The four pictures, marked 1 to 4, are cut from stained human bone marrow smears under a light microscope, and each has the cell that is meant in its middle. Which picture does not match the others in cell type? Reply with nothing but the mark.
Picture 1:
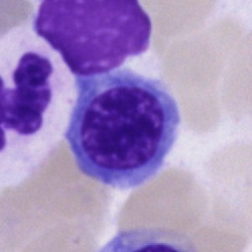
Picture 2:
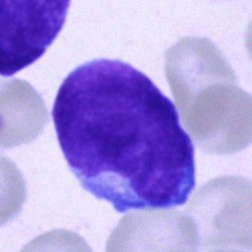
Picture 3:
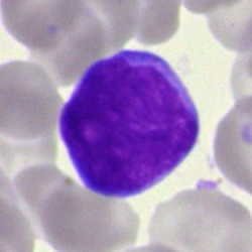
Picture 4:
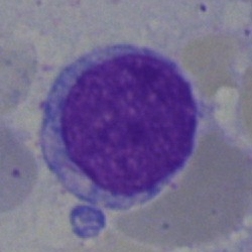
1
